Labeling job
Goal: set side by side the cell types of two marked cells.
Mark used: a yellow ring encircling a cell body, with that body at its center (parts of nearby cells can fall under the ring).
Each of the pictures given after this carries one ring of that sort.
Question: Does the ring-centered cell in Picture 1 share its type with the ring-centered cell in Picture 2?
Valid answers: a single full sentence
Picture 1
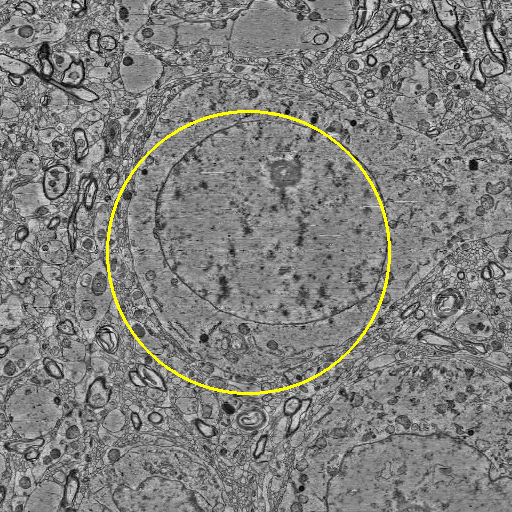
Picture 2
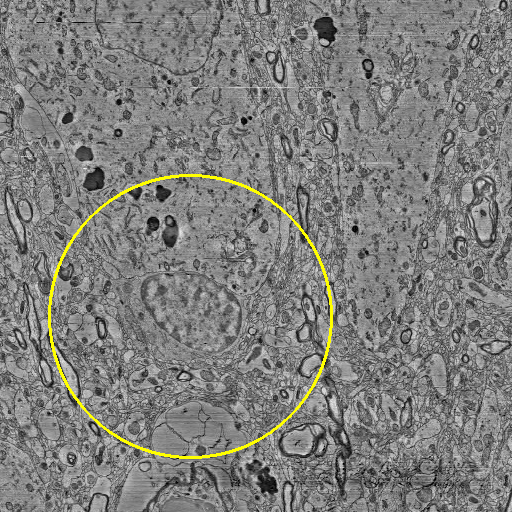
No, in Pictures 1 and 2 the cells at the ring centers have separate types.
